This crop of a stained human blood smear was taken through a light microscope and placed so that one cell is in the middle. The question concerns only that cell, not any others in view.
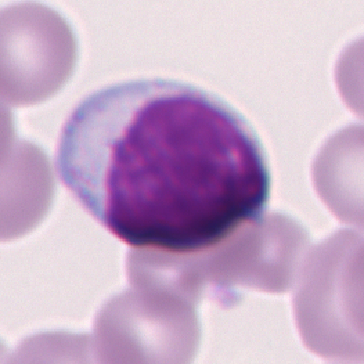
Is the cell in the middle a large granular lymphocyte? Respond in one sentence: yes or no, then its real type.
Yes, as regards the cell in the middle, it is a large granular lymphocyte.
